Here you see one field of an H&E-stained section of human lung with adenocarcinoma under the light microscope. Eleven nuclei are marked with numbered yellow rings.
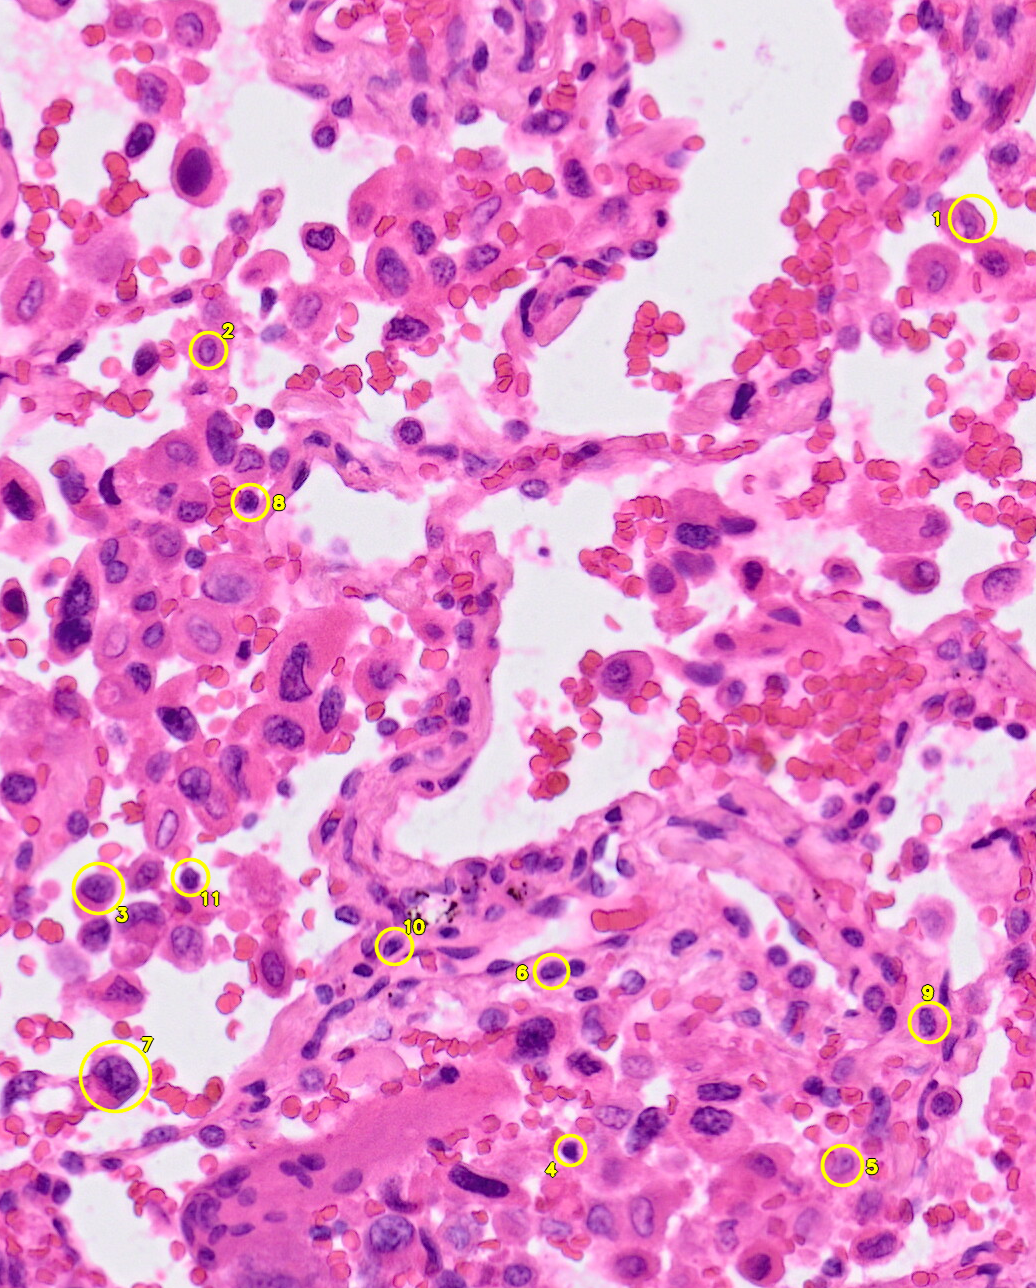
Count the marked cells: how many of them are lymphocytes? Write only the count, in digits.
5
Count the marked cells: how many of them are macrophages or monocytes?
3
